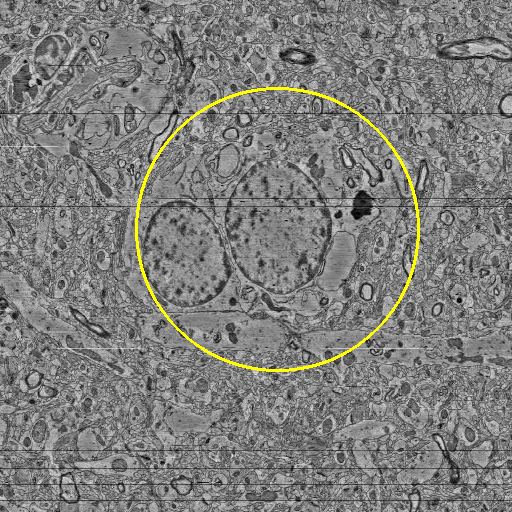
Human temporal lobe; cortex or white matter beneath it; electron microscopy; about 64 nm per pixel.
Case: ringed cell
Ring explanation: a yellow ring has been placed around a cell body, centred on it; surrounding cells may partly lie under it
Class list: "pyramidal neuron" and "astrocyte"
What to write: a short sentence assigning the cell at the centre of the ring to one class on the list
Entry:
The cell at the ring's centre is an astrocyte.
